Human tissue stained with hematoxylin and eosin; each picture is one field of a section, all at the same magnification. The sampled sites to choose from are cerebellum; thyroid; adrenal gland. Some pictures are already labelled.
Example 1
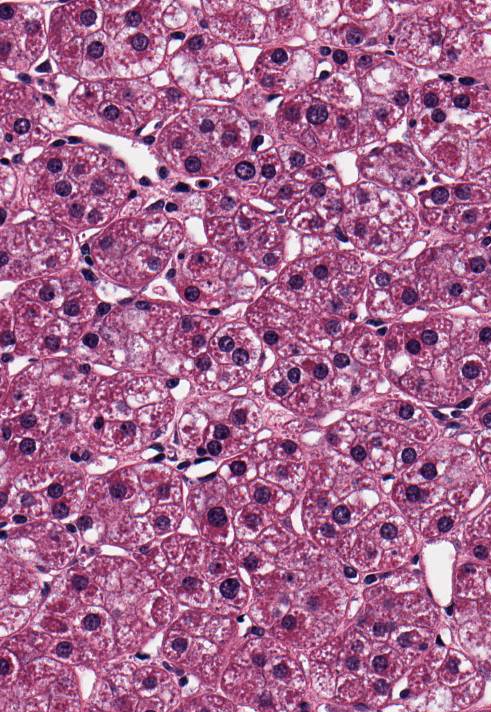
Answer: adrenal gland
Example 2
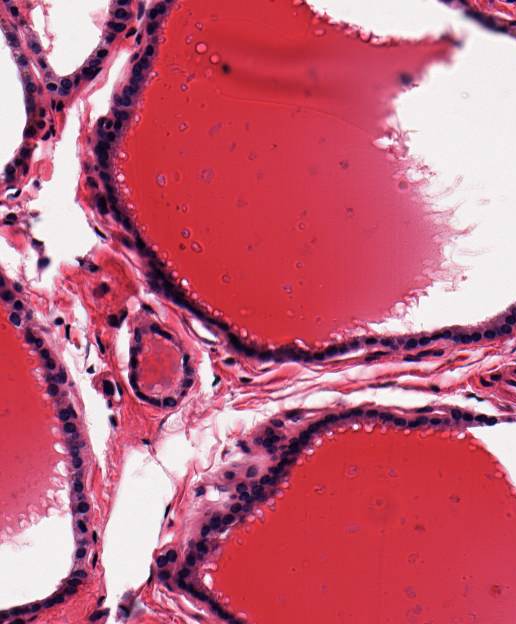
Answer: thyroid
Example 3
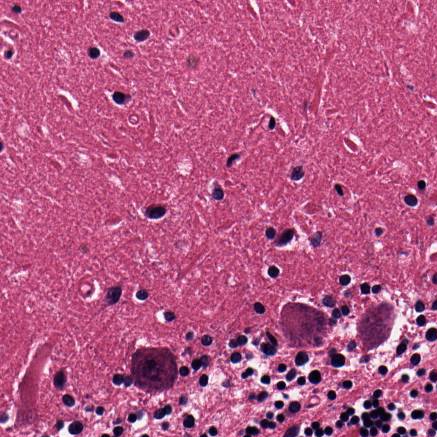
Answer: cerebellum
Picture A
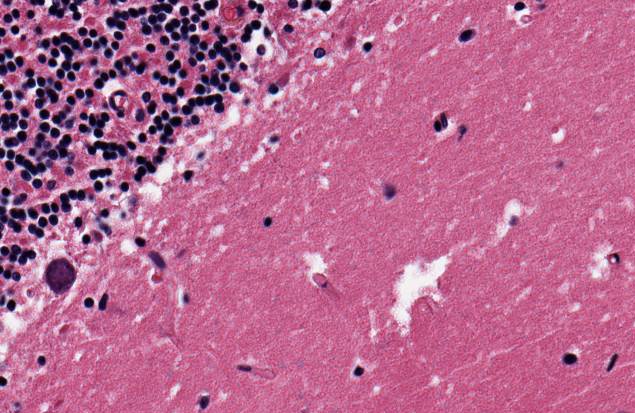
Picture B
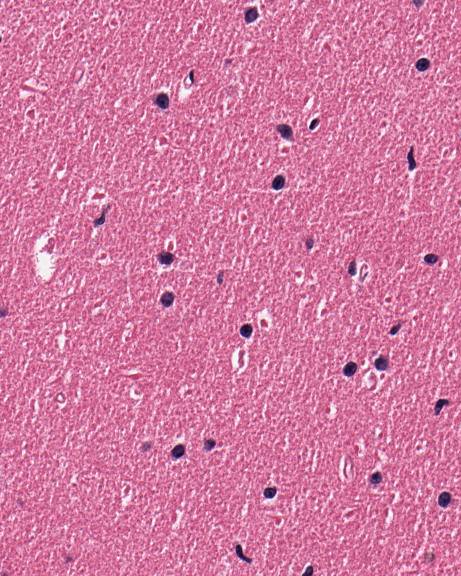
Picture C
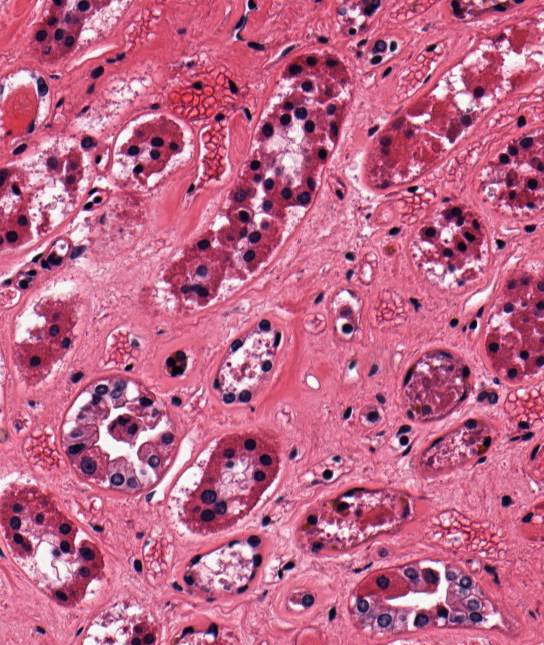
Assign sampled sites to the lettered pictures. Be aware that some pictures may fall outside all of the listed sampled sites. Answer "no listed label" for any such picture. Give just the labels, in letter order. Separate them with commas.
cerebellum, cerebellum, no listed label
